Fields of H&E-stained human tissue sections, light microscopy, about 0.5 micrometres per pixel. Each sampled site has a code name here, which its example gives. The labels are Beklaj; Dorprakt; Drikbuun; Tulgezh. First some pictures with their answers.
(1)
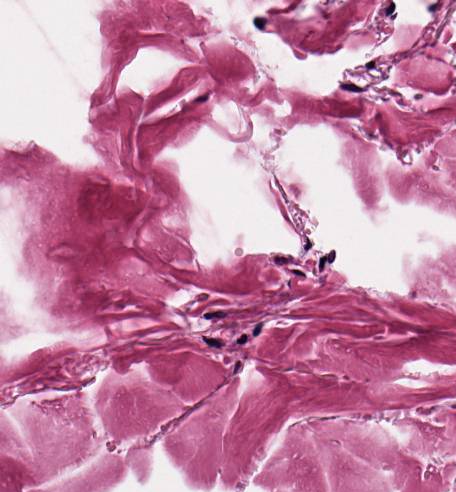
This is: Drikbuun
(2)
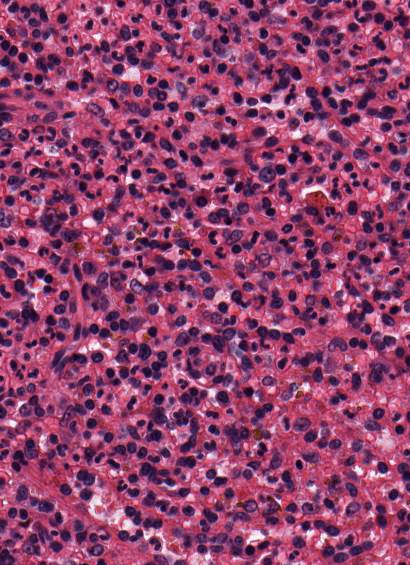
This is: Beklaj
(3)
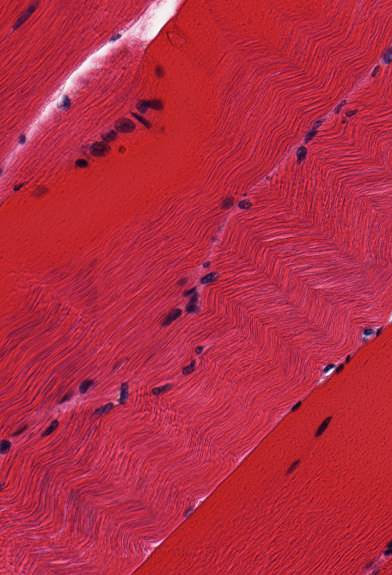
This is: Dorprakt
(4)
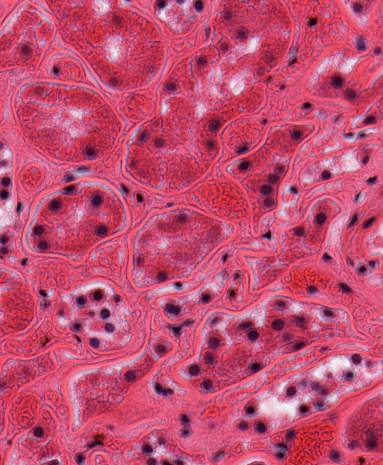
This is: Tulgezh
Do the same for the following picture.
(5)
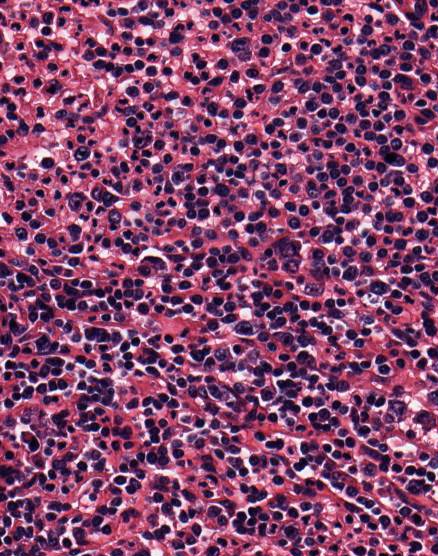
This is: Beklaj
